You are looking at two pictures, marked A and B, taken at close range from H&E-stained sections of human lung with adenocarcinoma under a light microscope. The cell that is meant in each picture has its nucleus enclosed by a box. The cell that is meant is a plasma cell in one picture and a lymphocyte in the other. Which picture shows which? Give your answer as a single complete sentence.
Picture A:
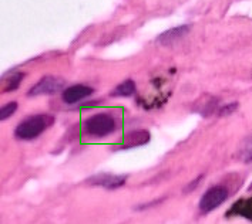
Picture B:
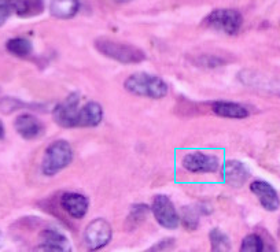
Picture A is of a plasma cell, and picture B is of a lymphocyte.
